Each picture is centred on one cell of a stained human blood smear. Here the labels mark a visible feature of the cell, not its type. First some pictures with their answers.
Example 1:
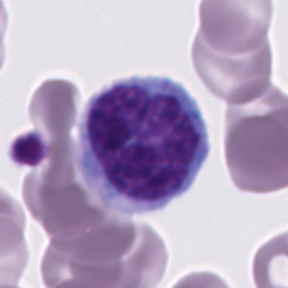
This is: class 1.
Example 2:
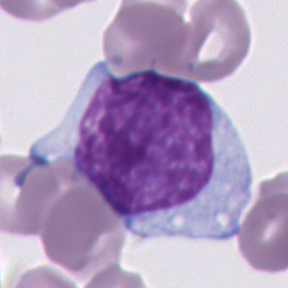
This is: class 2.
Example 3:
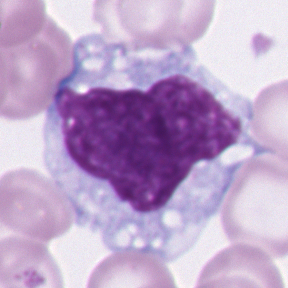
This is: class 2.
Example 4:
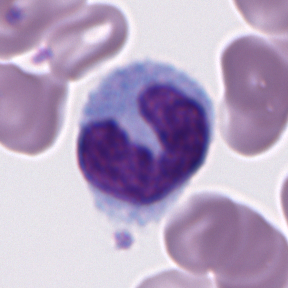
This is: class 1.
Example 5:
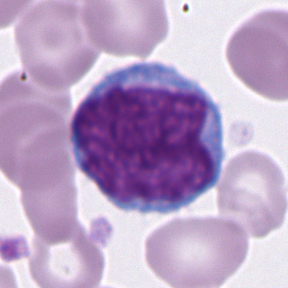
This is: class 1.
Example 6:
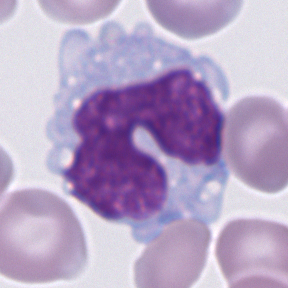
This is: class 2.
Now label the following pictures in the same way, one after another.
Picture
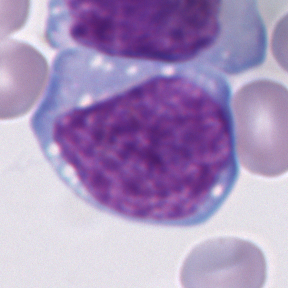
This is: class 2.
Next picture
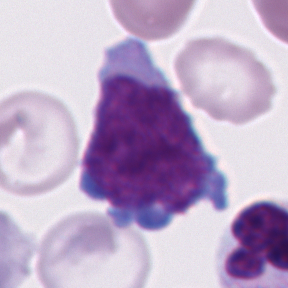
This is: class 1.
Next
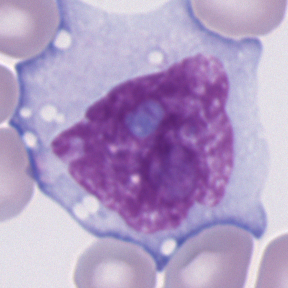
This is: class 2.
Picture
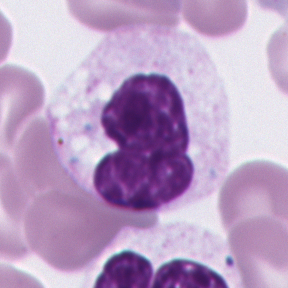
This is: class 2.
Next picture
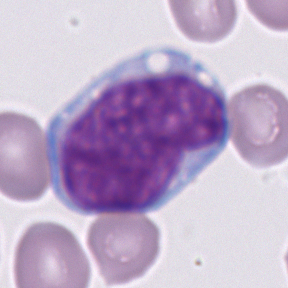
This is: class 2.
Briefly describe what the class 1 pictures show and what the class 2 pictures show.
Seen in class 1: no vacuoles; seen in class 2: vacuoles present.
